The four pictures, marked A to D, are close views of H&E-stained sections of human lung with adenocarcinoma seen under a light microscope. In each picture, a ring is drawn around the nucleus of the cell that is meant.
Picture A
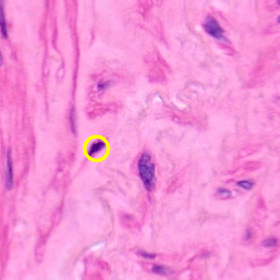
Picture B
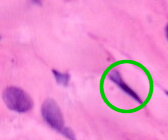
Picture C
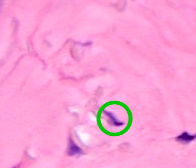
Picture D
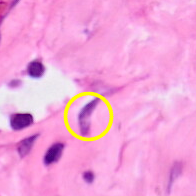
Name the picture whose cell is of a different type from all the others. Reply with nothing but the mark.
A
